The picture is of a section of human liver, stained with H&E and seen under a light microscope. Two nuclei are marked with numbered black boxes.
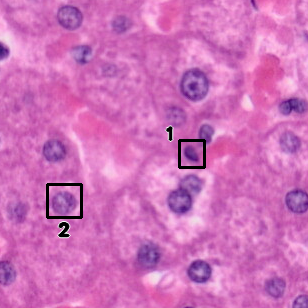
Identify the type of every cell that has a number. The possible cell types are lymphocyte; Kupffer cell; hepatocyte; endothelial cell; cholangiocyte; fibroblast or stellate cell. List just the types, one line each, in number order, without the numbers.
fibroblast or stellate cell
hepatocyte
